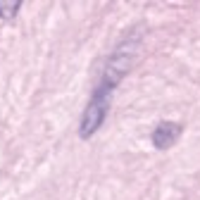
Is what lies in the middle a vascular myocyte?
Yes, it is a vascular myocyte.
